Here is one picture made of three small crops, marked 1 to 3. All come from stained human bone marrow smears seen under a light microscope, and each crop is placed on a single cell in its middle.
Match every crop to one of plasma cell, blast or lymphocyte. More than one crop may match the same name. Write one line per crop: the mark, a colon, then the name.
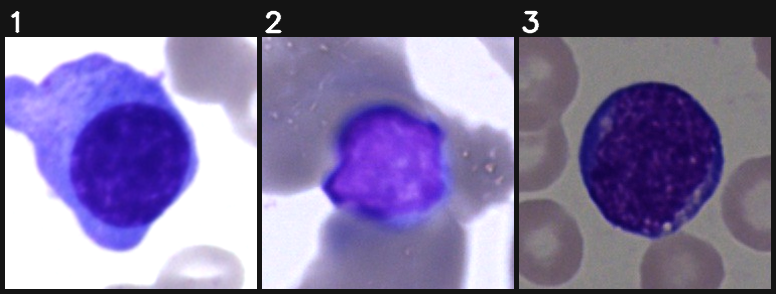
1: plasma cell
2: lymphocyte
3: blast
